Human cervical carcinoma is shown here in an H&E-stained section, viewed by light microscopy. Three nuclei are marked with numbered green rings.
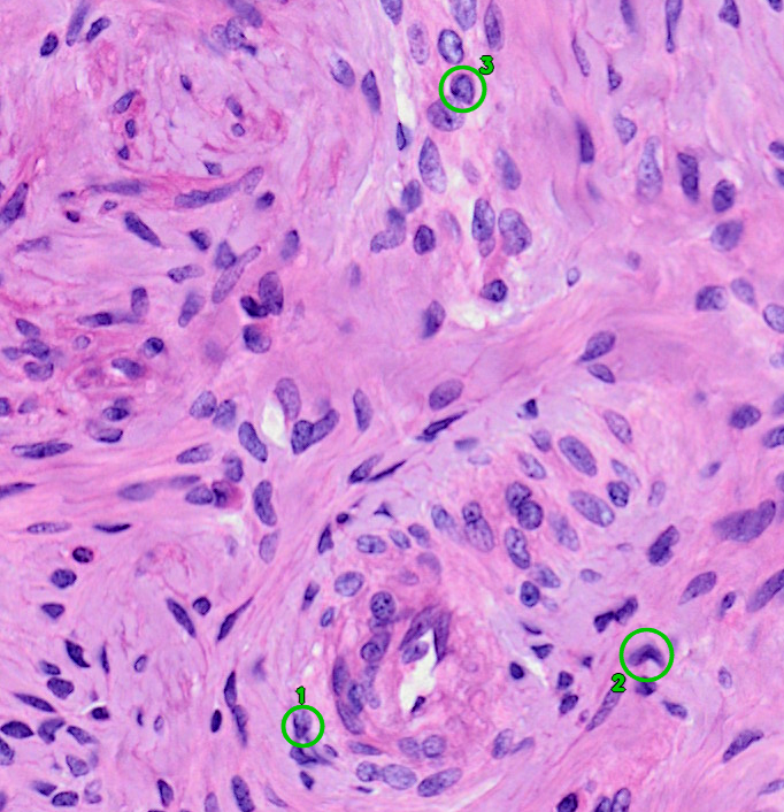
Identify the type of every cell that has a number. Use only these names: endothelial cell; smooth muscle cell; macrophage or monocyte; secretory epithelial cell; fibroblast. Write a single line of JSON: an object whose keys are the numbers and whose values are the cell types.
{"1": "fibroblast", "2": "fibroblast", "3": "endothelial cell"}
